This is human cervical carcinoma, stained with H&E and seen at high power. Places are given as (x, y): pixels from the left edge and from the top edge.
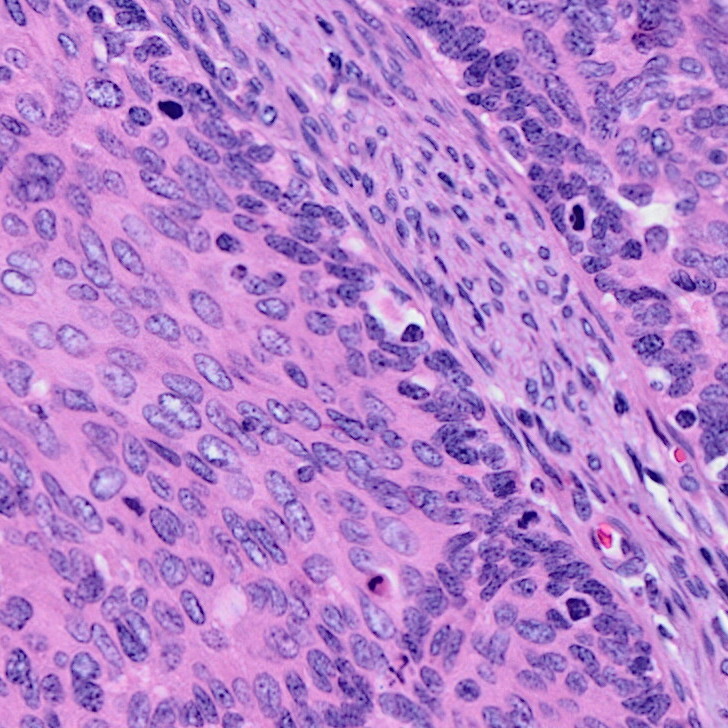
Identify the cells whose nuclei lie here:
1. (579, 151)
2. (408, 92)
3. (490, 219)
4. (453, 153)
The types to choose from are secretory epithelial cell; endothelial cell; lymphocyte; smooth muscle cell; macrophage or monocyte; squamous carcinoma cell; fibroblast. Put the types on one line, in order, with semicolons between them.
squamous carcinoma cell; smooth muscle cell; smooth muscle cell; smooth muscle cell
